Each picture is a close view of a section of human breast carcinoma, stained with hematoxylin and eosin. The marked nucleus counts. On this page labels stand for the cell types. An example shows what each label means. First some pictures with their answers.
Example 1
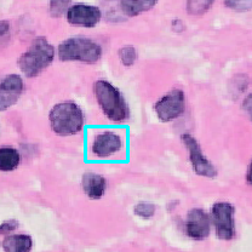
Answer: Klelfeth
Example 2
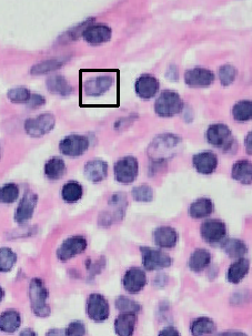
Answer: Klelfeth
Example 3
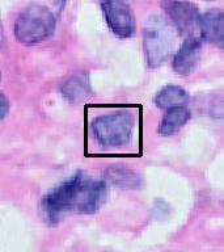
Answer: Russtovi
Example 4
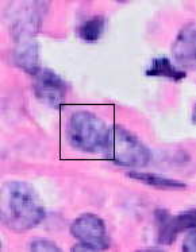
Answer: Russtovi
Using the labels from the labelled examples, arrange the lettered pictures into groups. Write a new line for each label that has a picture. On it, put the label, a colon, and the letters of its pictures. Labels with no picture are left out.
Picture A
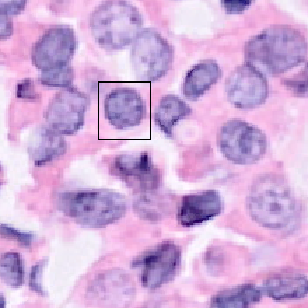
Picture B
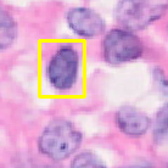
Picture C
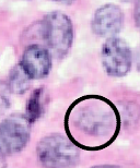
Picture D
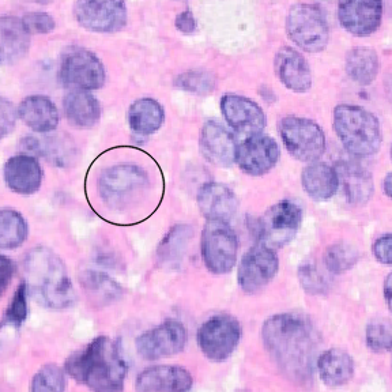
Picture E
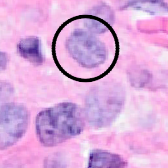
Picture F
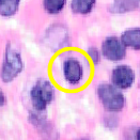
Klelfeth: F
Russtovi: A, B, C, D, E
